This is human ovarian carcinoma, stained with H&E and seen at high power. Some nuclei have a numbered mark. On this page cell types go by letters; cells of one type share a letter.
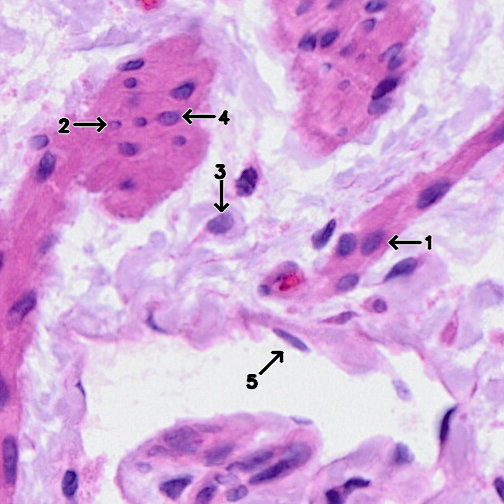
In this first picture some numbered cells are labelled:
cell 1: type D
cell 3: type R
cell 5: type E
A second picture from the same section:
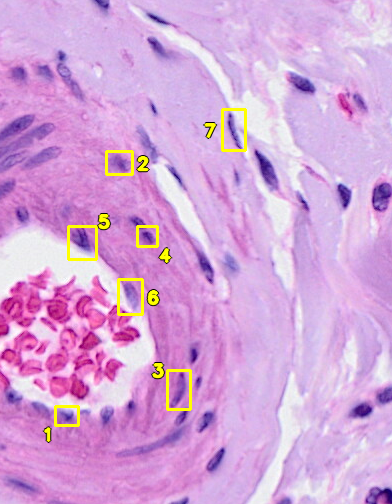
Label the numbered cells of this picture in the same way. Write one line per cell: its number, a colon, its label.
1: type E
2: type D
3: type D
4: type D
5: type E
6: type E
7: type R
